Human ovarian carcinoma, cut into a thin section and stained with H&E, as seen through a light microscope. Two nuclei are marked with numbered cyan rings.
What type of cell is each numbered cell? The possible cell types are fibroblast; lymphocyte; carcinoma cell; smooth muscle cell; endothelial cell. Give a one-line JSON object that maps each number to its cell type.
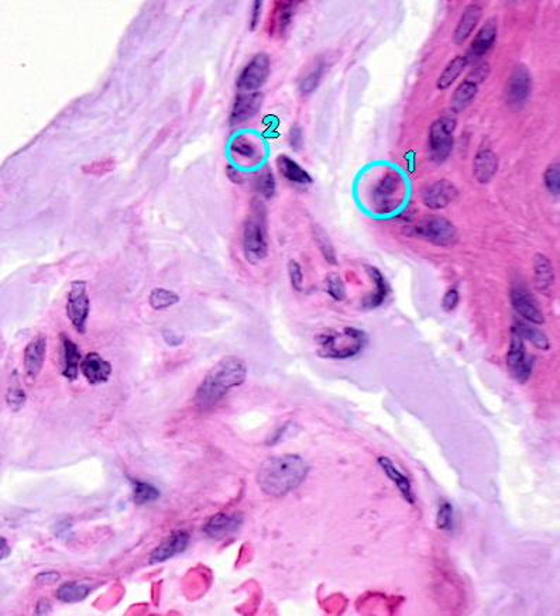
{"1": "smooth muscle cell", "2": "endothelial cell"}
